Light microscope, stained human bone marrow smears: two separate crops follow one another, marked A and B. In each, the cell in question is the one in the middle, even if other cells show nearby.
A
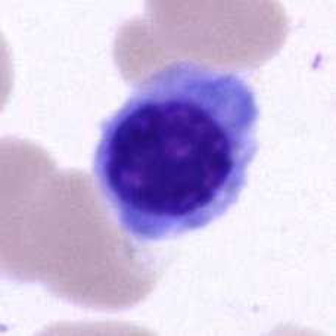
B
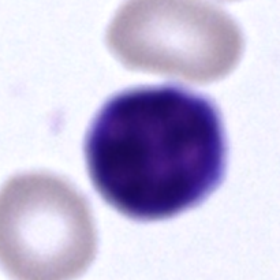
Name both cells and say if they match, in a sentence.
No, a lymphocyte is in crop B, and an erythroblast is in crop A.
